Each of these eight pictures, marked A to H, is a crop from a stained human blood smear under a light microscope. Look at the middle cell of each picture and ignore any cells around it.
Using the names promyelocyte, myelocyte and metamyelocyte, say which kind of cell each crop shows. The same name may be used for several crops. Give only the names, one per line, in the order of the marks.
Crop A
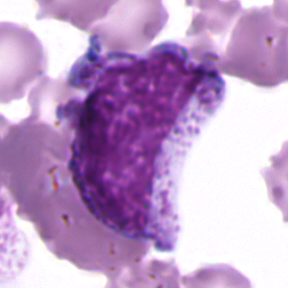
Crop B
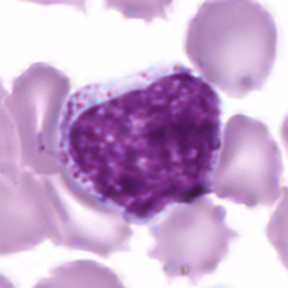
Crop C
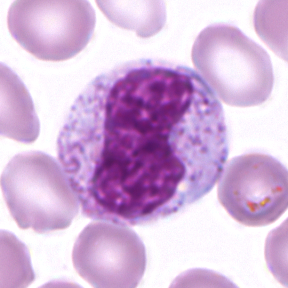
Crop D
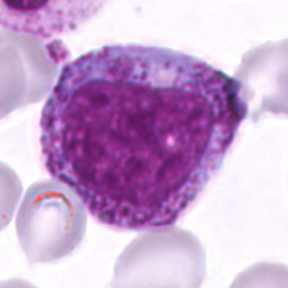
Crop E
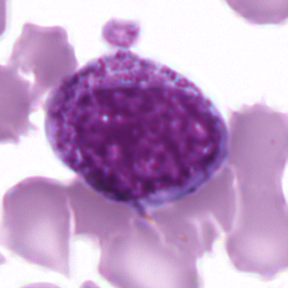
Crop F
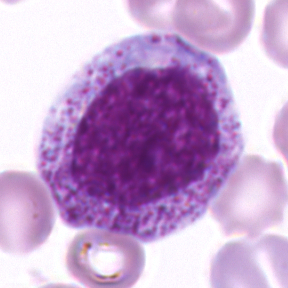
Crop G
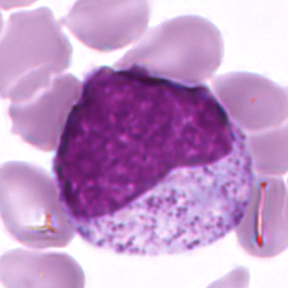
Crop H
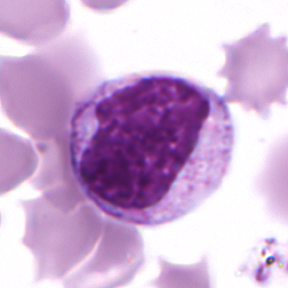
promyelocyte
myelocyte
metamyelocyte
promyelocyte
myelocyte
promyelocyte
myelocyte
metamyelocyte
